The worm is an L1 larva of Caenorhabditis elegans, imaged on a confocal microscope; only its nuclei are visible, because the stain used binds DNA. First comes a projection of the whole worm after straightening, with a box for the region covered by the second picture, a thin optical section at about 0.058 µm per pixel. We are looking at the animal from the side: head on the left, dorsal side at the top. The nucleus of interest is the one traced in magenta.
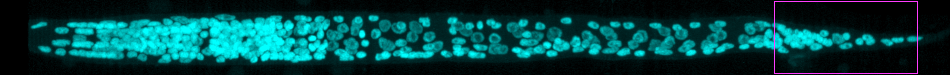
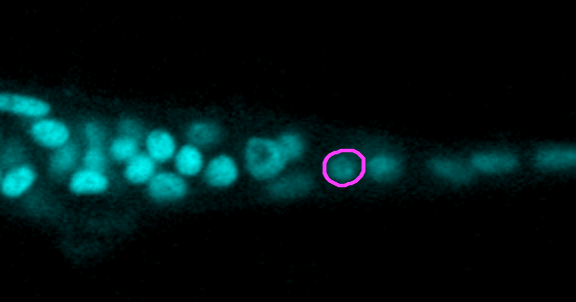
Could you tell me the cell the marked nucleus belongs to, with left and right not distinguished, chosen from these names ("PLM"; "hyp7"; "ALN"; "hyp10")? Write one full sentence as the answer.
The cell whose nucleus is marked is hyp7, a hypodermal cell (hyp).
